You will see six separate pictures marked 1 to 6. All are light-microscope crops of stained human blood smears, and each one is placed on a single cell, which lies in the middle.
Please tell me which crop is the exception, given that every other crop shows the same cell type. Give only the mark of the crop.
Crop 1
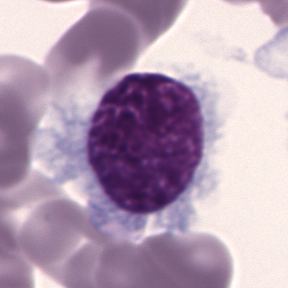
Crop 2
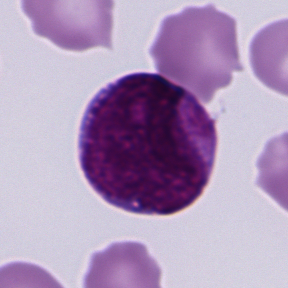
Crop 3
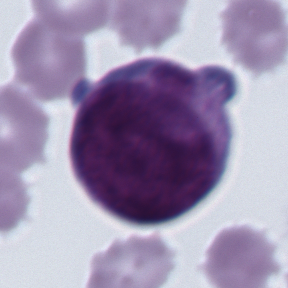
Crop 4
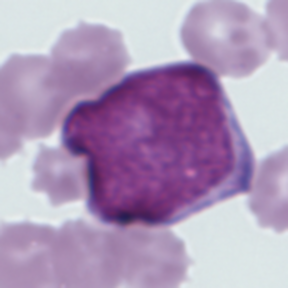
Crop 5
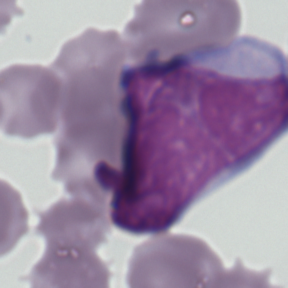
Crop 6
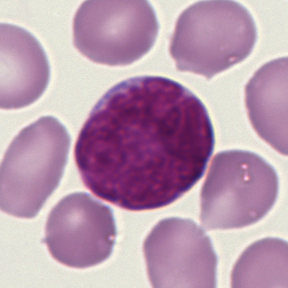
1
